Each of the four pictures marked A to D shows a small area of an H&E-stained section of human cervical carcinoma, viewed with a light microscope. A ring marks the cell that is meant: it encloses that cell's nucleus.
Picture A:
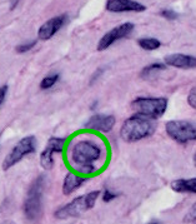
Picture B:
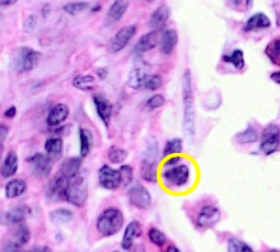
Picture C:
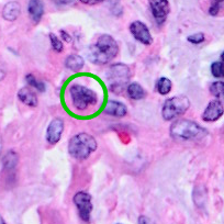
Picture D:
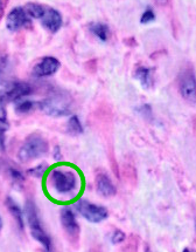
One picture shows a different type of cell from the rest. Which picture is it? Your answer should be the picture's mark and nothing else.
A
